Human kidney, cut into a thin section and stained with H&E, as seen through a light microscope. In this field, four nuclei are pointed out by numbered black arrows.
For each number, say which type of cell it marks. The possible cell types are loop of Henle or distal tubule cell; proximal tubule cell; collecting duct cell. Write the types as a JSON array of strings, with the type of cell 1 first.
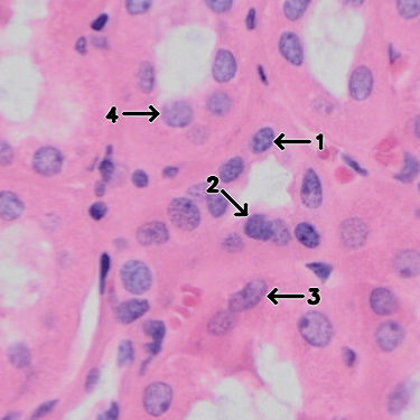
["collecting duct cell", "collecting duct cell", "proximal tubule cell", "loop of Henle or distal tubule cell"]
